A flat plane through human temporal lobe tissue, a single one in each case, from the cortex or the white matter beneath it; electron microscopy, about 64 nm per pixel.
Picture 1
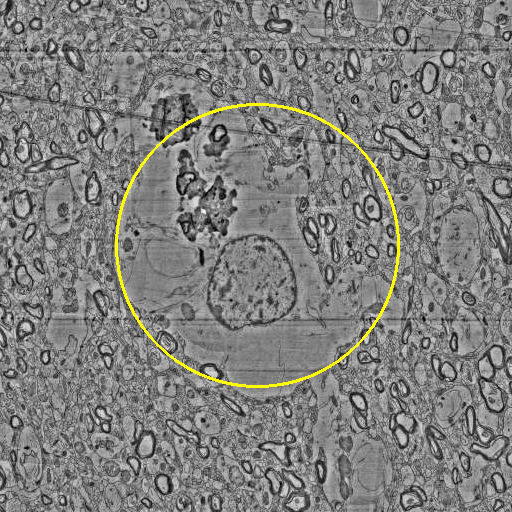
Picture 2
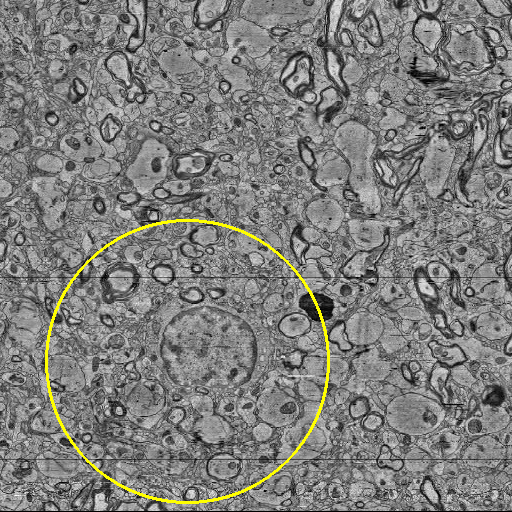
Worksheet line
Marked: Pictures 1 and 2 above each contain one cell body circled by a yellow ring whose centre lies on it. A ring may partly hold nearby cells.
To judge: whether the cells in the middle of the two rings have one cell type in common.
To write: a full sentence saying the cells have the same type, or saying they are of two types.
The cells in the middle of the rings in Picture 1 and Picture 2 are of two types.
